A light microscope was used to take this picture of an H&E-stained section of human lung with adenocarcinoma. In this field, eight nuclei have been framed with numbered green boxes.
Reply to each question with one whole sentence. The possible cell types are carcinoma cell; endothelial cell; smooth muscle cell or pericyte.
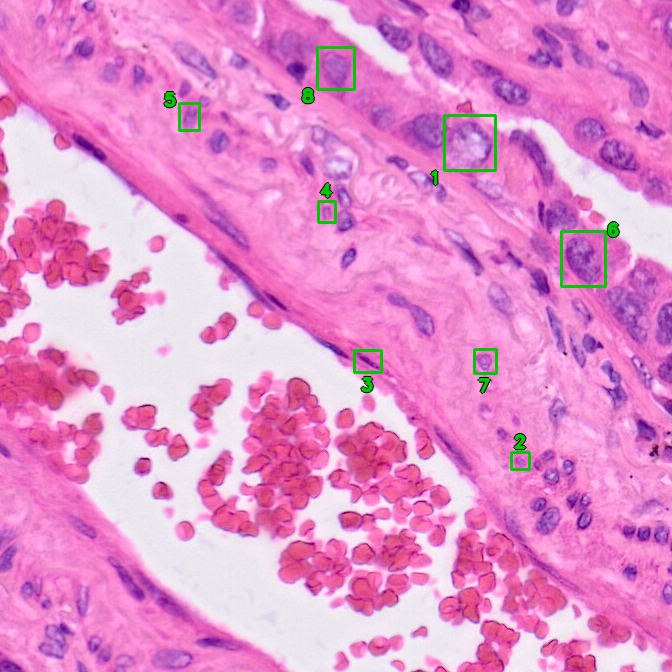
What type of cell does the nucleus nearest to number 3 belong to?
The nearest nucleus to number 3 belongs to an endothelial cell.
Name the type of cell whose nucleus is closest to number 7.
It is a smooth muscle cell or pericyte whose nucleus is nearest to number 7.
